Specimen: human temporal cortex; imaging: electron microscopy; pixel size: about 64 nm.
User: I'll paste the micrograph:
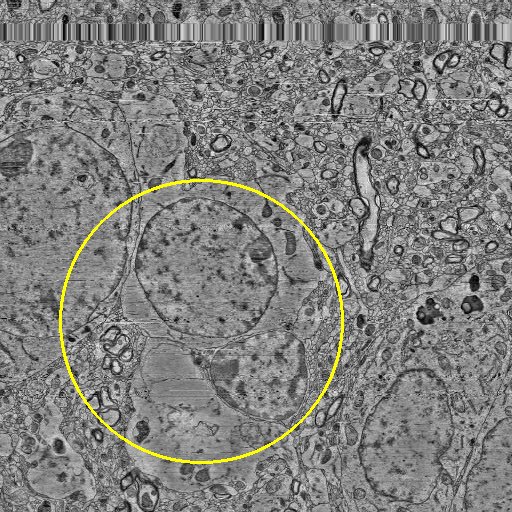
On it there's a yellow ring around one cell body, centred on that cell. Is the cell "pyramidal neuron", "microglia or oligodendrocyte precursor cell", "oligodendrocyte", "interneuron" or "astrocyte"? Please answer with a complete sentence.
The cell ringed in yellow is an astrocyte.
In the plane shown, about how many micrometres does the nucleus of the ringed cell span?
In this plane the nucleus is about 9 micrometres across.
